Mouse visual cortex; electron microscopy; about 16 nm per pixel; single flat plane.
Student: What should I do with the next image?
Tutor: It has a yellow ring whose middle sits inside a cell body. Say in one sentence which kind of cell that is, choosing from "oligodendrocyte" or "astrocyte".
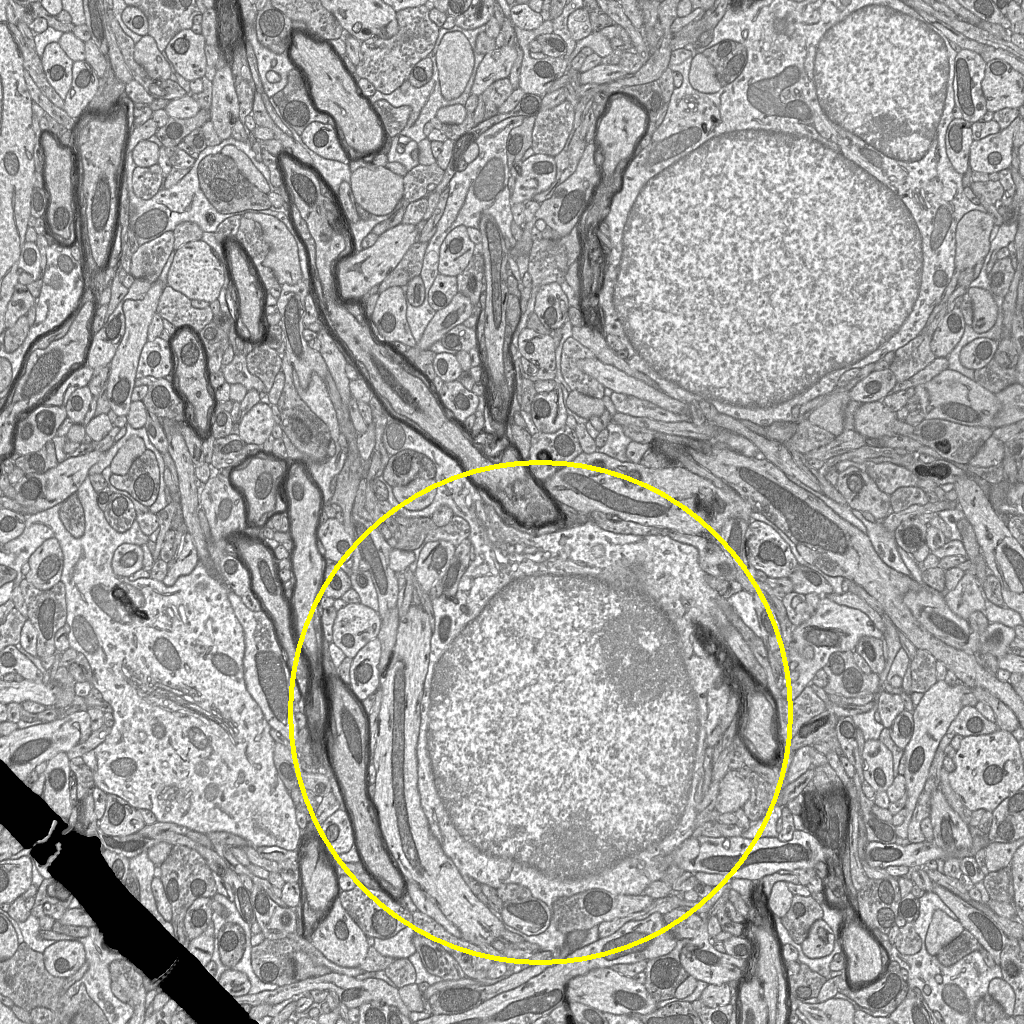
The ring's centre is occupied by an astrocyte.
